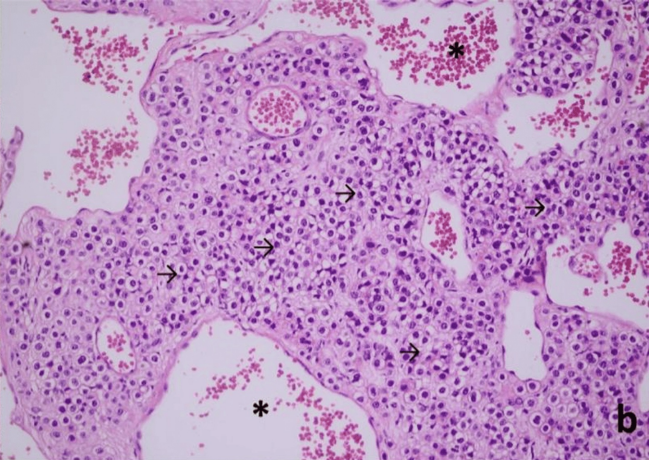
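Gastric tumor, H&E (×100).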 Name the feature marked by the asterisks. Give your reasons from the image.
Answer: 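The asterisks sit in large open spaces containing scattered red blood cells. Thin walls line these spaces, with sheets of tumor cells around them.
Hence: dilated vascular structures.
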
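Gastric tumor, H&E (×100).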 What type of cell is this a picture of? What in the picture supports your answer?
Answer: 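Glomus cells. Sheets of uniform small round cells with central round nuclei. Pale pink to lilac cytoplasm with sharp cell outlines. Cells cluster around blood-filled vascular spaces.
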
